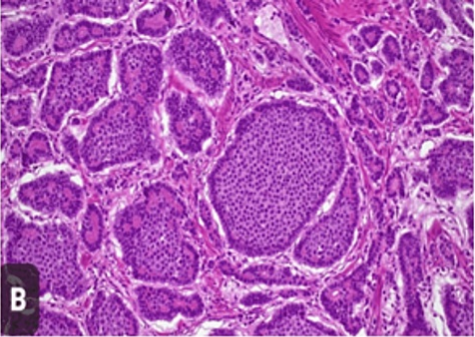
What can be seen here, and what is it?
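A neuroendocrine tumor is seen, made of nests of monotonous tumor cells separated by thin strands of pink fibrous stroma. The nests vary in size, from small rounded clusters to a large oval nest in the centre. The cells are small and uniform, with round purple nuclei crowded closely together and scant pale cytoplasm. Some smaller nests show gland-like or rosette-like arrangements with small central spaces.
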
